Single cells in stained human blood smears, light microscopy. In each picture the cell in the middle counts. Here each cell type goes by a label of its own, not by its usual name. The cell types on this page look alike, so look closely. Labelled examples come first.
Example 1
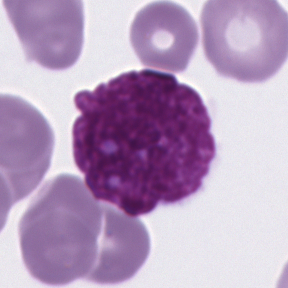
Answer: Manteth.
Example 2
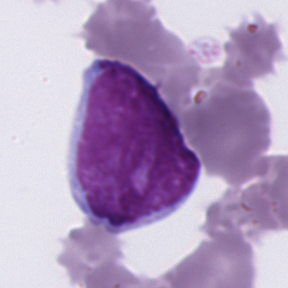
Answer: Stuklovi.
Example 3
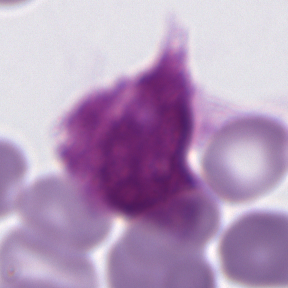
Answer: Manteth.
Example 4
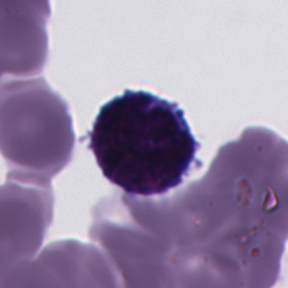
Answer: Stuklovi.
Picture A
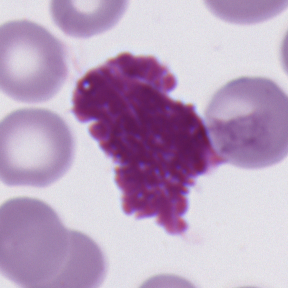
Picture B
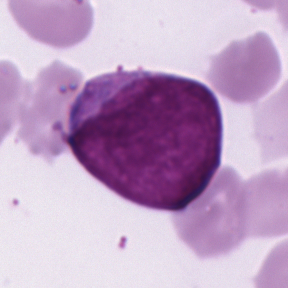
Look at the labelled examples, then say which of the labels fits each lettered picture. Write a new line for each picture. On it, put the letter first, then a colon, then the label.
A: Manteth.
B: Stuklovi.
